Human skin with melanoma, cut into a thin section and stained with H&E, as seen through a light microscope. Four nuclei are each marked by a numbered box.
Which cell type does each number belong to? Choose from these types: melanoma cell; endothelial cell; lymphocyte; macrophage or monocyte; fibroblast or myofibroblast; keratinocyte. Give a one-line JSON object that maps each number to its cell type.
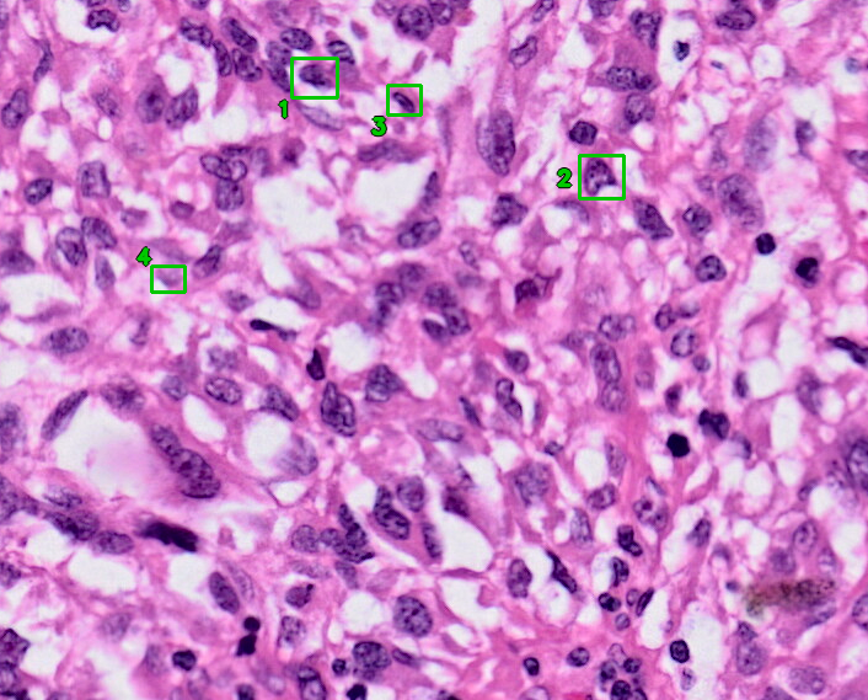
{"1": "melanoma cell", "2": "melanoma cell", "3": "macrophage or monocyte", "4": "melanoma cell"}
